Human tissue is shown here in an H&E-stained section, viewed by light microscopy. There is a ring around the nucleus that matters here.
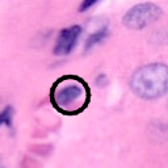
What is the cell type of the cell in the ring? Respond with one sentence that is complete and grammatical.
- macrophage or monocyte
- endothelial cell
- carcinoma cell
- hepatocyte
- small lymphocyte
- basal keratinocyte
As to its cell type, the cell in the ring is an endothelial cell.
